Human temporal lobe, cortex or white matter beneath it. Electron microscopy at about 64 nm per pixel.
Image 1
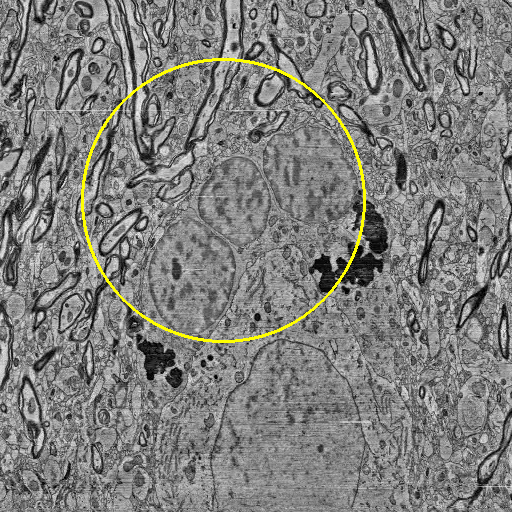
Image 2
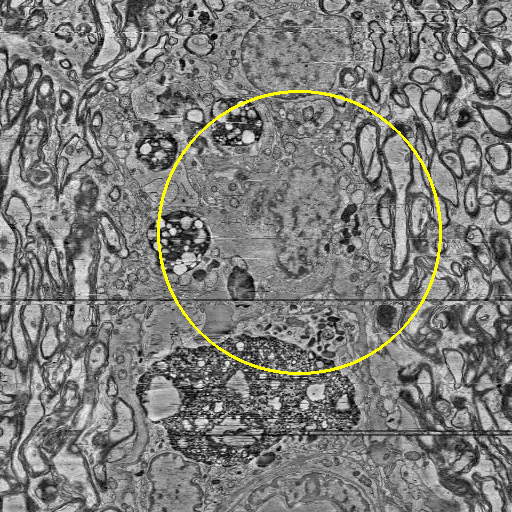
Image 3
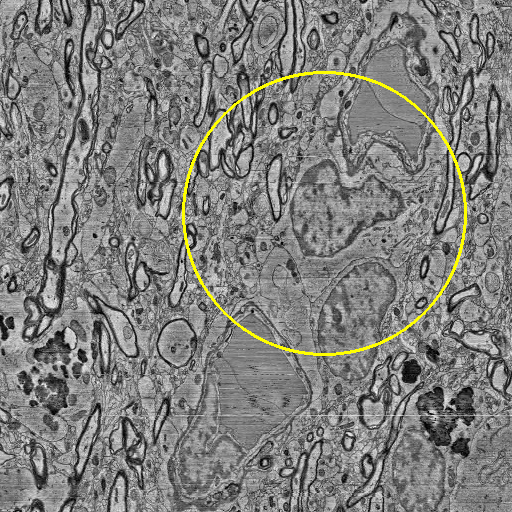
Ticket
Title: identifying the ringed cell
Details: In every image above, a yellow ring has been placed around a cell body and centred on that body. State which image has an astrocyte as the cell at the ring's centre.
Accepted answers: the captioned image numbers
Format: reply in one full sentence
The ring in image 2 is centred on the cell in question.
